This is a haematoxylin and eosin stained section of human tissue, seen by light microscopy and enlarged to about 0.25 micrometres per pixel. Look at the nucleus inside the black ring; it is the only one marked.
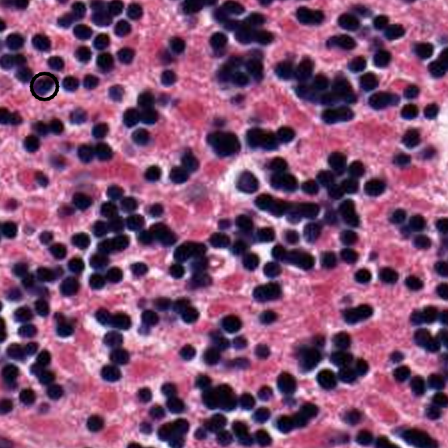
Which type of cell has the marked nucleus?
cerebellar granule cell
